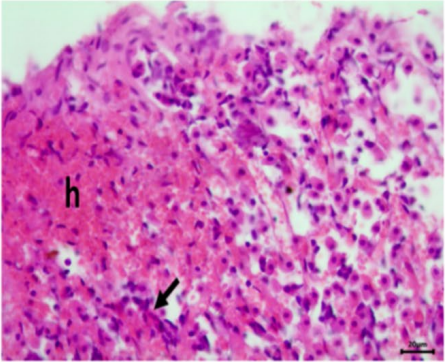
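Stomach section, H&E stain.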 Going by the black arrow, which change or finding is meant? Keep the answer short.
leucocyte infiltration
